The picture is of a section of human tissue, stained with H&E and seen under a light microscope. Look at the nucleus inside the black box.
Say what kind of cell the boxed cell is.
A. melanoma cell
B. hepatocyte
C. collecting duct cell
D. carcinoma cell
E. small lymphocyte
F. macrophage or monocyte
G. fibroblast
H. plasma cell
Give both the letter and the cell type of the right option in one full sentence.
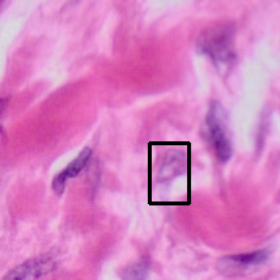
Among the choices, option G is correct, the boxed cell being a fibroblast.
